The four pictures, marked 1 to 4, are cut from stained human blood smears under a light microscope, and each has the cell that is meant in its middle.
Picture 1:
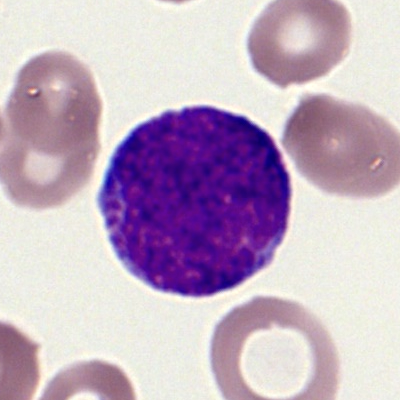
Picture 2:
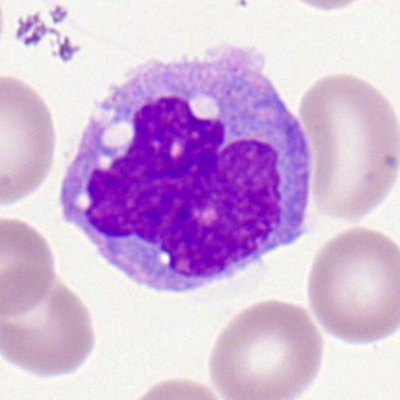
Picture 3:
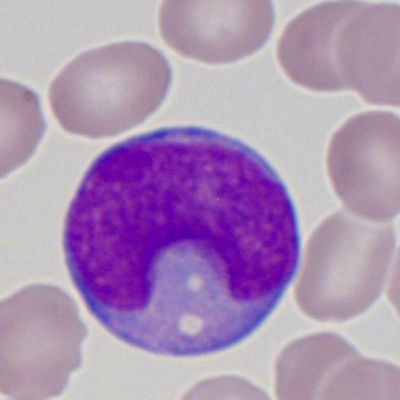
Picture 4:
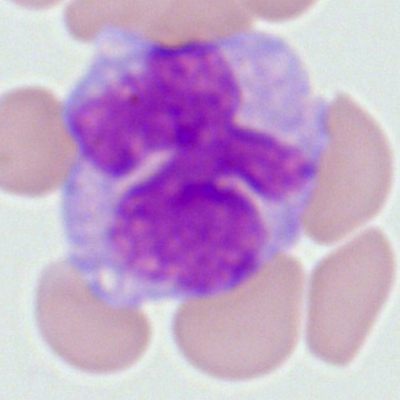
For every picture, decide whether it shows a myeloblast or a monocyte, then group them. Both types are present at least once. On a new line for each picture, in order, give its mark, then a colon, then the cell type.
1: myeloblast
2: monocyte
3: myeloblast
4: monocyte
